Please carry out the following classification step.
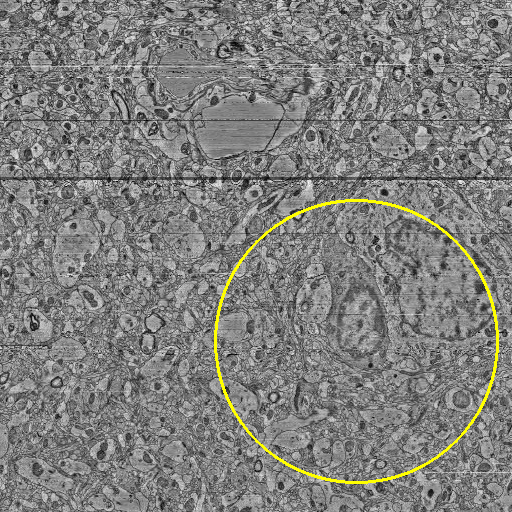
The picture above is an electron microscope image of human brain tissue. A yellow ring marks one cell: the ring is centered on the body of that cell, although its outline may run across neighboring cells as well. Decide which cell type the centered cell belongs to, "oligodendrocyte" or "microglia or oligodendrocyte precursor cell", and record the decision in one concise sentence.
The cell centered in the yellow ring is an oligodendrocyte.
